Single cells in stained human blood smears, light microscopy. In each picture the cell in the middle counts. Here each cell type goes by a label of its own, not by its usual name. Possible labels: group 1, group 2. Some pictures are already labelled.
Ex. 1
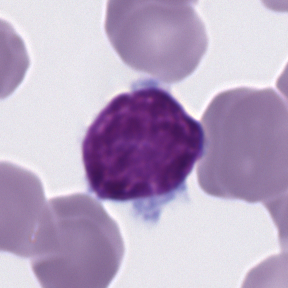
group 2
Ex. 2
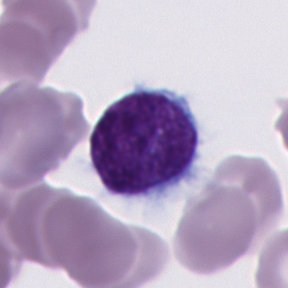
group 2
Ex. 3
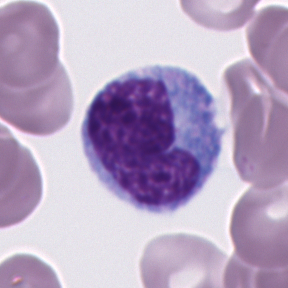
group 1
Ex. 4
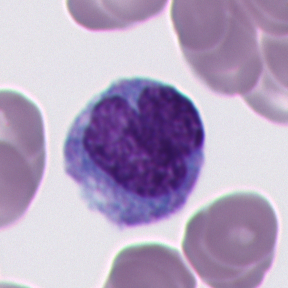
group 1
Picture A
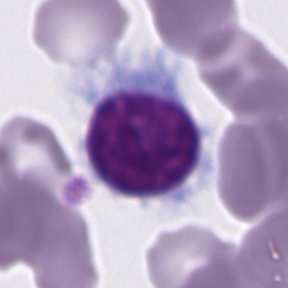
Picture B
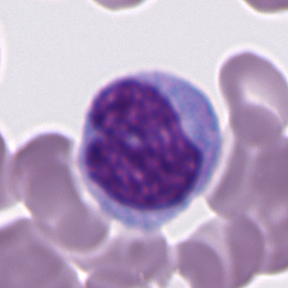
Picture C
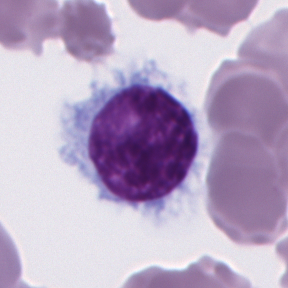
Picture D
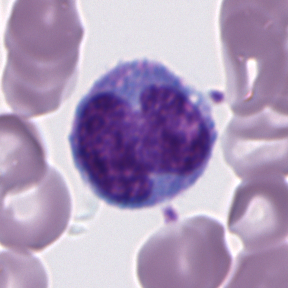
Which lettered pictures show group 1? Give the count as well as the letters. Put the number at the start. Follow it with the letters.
2: B, D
